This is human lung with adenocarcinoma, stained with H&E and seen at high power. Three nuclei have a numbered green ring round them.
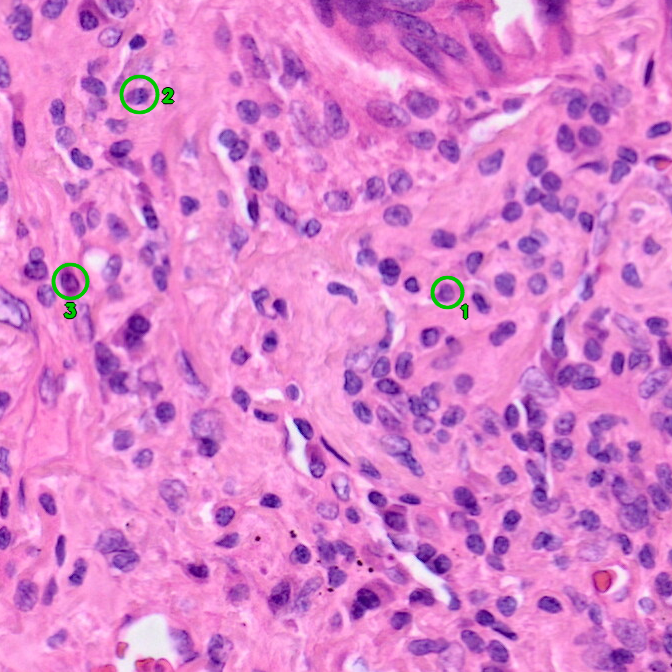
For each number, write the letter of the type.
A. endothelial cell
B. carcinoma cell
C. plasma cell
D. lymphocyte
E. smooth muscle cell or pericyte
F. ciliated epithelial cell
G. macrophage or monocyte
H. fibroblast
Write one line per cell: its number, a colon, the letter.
1: C
2: D
3: C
